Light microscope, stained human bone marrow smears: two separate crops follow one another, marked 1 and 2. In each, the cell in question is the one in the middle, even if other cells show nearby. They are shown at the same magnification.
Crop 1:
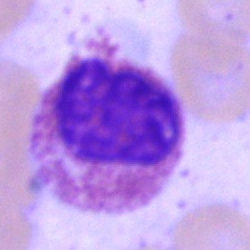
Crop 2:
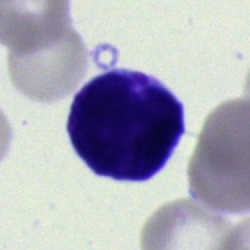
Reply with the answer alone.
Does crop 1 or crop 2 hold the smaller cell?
2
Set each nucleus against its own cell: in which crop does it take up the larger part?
2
